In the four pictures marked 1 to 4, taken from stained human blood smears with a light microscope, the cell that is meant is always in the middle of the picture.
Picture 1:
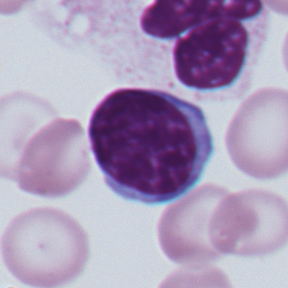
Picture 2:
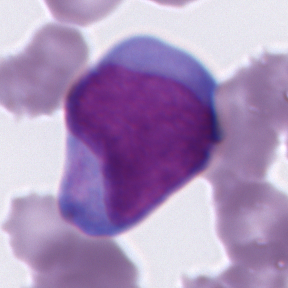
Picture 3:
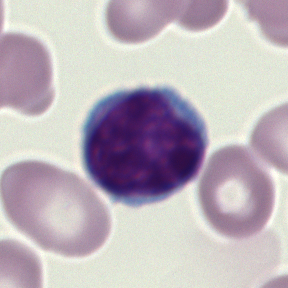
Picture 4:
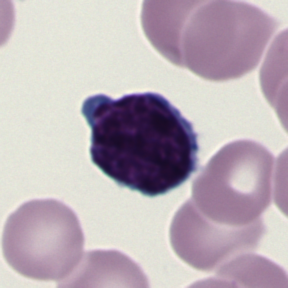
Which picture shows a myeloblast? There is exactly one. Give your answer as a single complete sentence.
The myeloblast is the one in picture 2.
